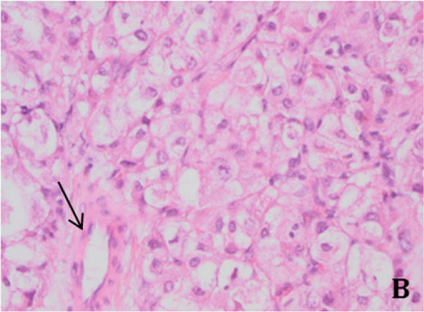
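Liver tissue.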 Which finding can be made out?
Atypia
